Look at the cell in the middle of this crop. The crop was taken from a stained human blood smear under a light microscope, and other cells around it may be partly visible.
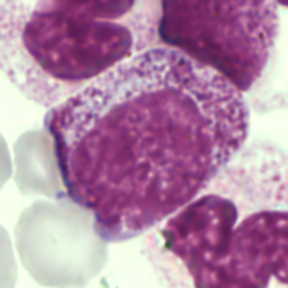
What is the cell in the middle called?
myelocyte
